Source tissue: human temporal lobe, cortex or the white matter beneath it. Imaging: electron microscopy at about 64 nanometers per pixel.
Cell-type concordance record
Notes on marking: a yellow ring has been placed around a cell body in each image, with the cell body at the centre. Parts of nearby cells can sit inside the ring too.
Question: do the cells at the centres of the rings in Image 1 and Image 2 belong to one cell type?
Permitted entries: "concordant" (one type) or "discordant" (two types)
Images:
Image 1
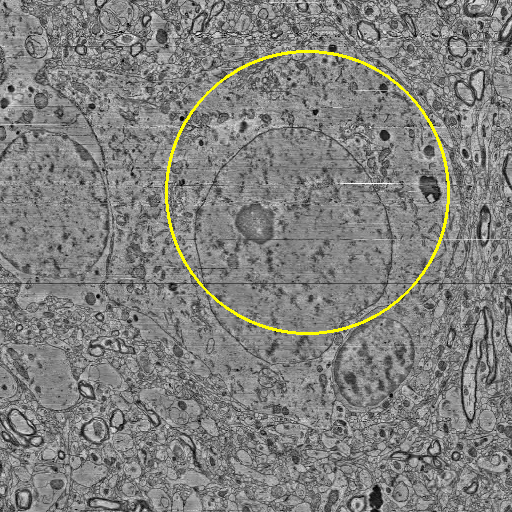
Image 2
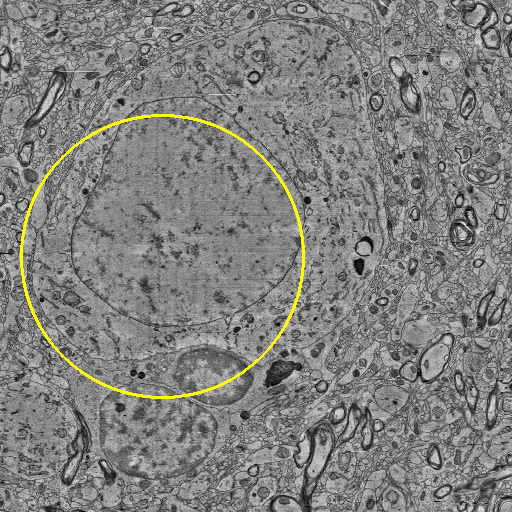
concordant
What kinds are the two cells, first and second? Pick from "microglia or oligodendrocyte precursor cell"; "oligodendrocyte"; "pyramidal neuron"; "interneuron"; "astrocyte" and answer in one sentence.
Both rings mark a pyramidal neuron, one in each picture.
